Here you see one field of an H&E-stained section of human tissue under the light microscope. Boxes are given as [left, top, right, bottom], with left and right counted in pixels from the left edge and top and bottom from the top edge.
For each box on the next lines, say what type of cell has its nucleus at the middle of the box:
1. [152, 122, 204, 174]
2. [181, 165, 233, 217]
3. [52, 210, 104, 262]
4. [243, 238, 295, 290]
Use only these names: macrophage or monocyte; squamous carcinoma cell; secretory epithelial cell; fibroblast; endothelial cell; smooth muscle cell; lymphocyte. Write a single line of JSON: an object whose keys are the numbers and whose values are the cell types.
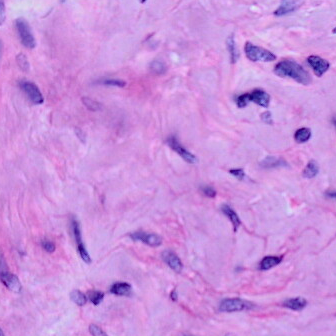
{"1": "fibroblast", "2": "smooth muscle cell", "3": "fibroblast", "4": "smooth muscle cell"}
